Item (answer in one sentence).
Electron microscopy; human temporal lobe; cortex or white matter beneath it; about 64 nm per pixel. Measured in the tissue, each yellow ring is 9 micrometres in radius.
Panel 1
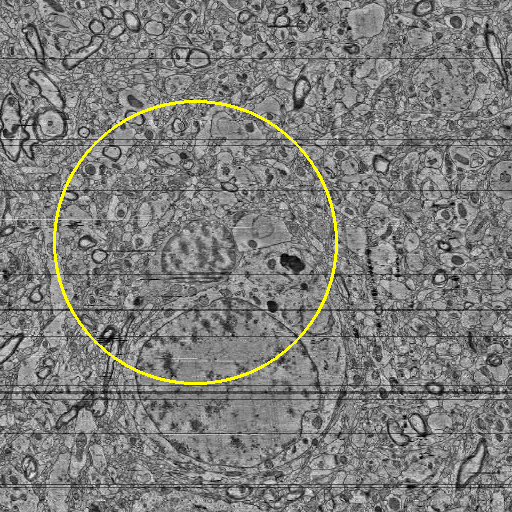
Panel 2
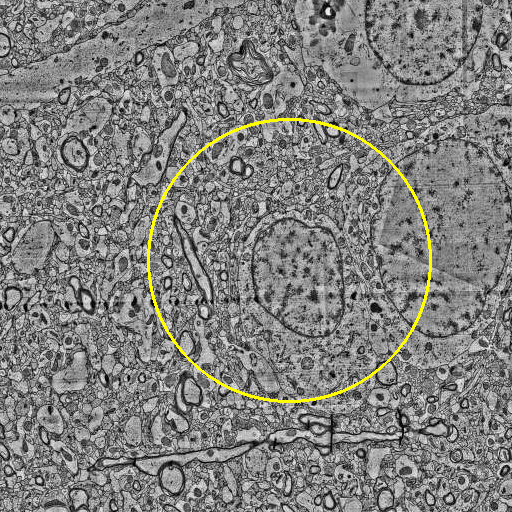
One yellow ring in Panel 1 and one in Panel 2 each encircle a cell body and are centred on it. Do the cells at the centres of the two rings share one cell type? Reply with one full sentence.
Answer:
No, Panel 1 and Panel 2 show cells of two types at the centres of their rings.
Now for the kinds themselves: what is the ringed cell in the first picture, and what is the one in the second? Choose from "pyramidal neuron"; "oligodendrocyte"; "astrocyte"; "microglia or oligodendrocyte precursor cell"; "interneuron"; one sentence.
Here the first cell is an oligodendrocyte and the second cell is a pyramidal neuron.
